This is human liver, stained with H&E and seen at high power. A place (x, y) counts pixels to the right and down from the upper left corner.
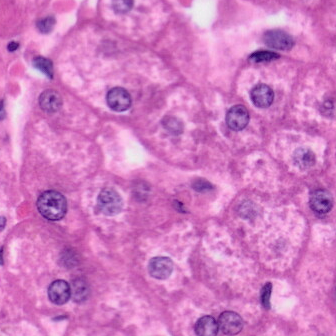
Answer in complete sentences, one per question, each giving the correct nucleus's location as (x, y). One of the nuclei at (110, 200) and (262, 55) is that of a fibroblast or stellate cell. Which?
Lying within a fibroblast or stellate cell is the nucleus at (262, 55).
